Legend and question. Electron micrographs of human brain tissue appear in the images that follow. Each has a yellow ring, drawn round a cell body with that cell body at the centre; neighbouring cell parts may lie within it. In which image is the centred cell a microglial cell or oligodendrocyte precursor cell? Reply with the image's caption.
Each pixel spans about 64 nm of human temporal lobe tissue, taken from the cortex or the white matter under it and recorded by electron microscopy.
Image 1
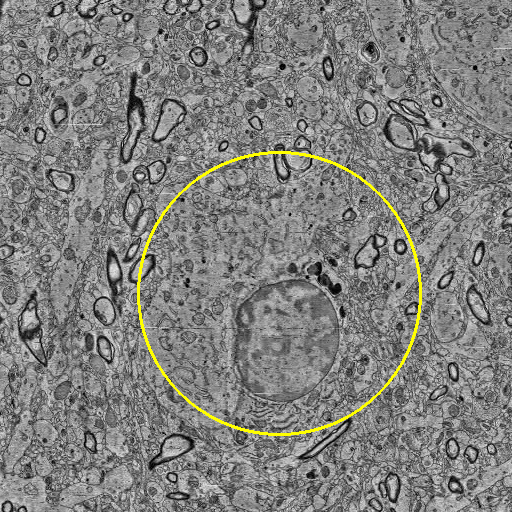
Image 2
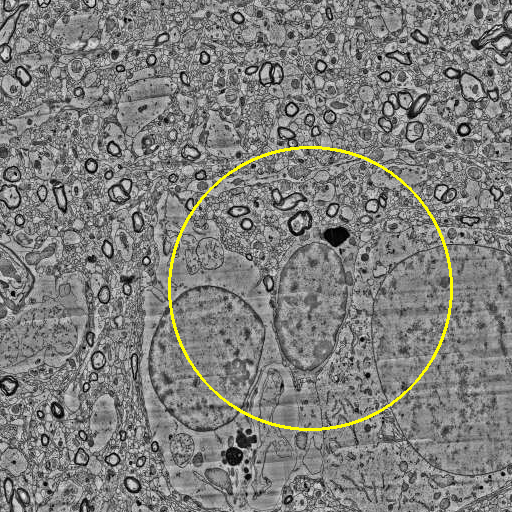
Image 1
